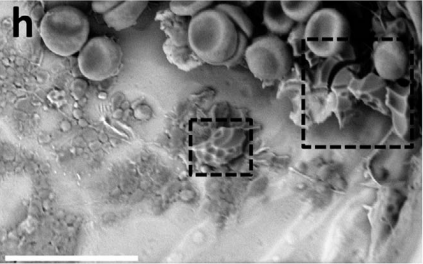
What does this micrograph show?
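At high magnification the clot shows rounded biconcave discs in its upper part beside cells with angular, faceted outlines that are packed against one another. Below, a flatter surface carries small irregular bodies and fine material among the cells.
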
